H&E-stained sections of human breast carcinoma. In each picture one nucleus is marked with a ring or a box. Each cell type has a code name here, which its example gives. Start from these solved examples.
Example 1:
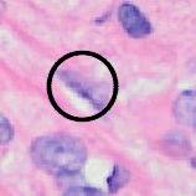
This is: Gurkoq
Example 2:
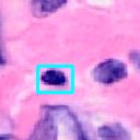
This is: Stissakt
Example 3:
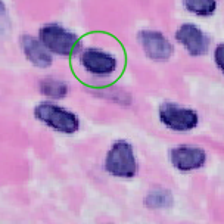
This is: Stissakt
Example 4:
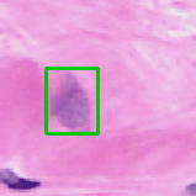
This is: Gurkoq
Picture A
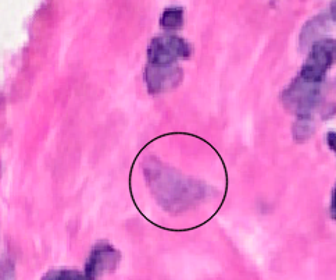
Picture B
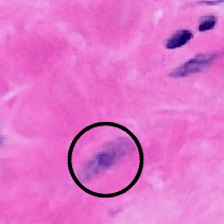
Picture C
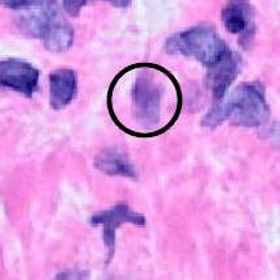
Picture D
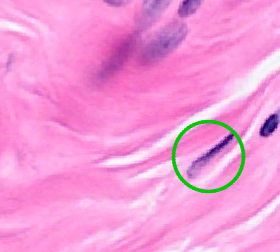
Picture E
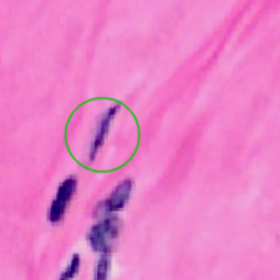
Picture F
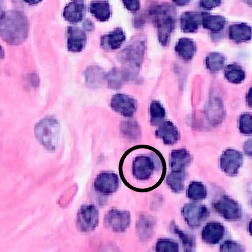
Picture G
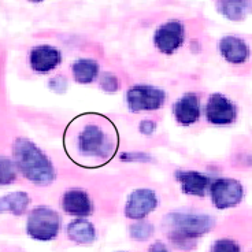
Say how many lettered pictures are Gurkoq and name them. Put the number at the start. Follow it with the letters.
Count: 5 (A, B, C, D, E)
